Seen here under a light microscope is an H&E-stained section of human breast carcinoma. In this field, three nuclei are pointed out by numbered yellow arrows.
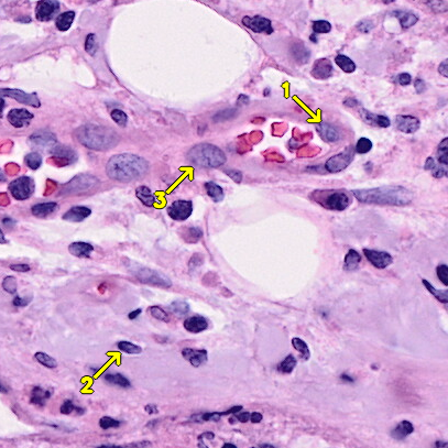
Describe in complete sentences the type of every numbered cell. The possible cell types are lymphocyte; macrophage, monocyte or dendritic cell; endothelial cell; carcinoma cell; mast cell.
Cells 1 and 3 are endothelial cells. Cell 2 is a lymphocyte.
